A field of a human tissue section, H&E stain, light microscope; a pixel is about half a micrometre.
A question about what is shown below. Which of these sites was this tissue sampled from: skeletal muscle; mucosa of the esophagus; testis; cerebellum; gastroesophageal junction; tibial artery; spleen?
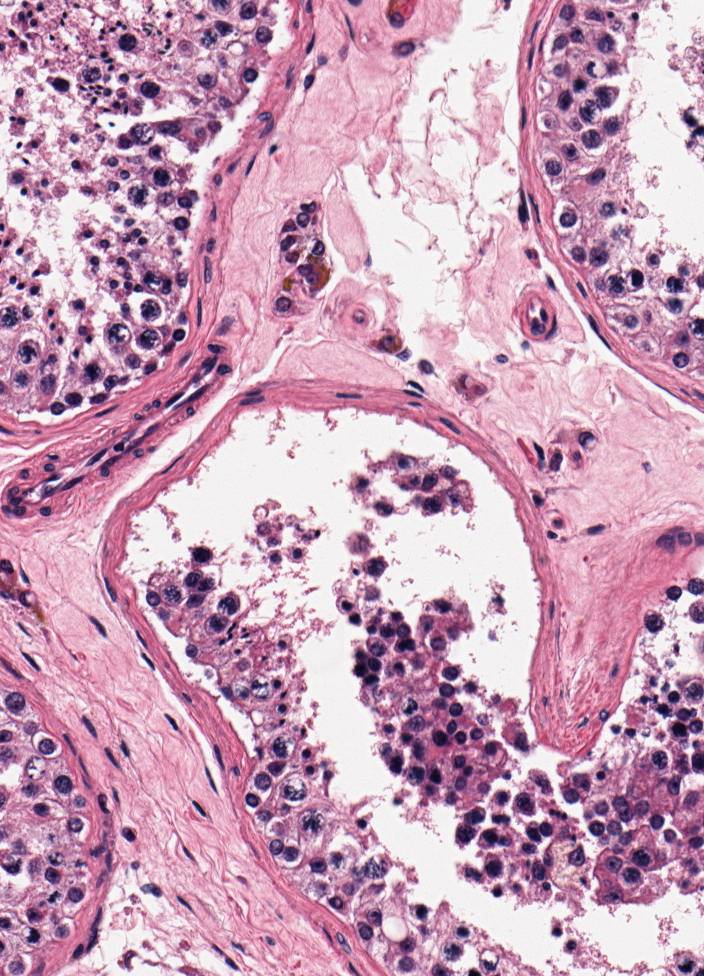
testis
